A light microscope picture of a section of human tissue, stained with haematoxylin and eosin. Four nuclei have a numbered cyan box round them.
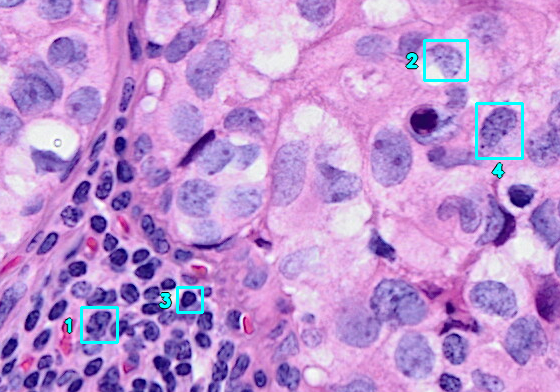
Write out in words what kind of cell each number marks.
Cell 1 is a lymphocyte, cell 2 is a carcinoma cell, cell 3 is a lymphocyte and cell 4 is a carcinoma cell.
